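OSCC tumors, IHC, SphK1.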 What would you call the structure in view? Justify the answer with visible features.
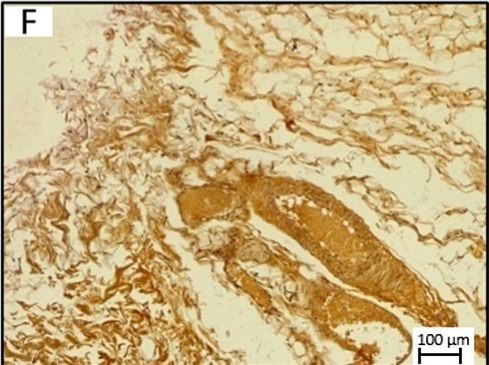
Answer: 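Elongated tubular structure with a wall lying in loose adipose tissue. Lumen filled with brown-stained content.
Answer: blood vessels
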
